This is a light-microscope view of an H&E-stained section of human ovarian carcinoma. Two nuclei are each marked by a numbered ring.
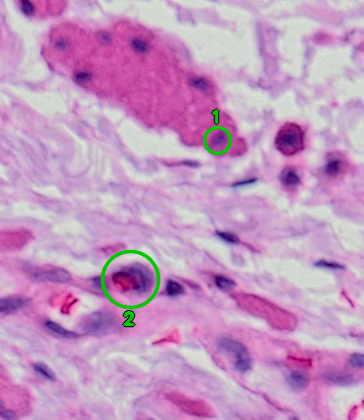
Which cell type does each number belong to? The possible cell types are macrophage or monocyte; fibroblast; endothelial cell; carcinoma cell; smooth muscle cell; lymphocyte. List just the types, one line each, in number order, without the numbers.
smooth muscle cell
endothelial cell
